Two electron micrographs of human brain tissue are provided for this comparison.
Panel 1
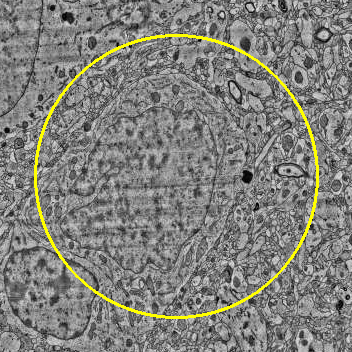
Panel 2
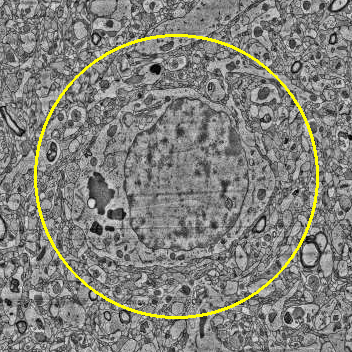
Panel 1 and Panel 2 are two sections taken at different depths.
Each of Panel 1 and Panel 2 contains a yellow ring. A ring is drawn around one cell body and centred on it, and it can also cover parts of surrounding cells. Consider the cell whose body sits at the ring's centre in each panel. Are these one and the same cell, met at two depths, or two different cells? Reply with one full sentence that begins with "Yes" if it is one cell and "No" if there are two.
No, the two rings refer to two distinct cells.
